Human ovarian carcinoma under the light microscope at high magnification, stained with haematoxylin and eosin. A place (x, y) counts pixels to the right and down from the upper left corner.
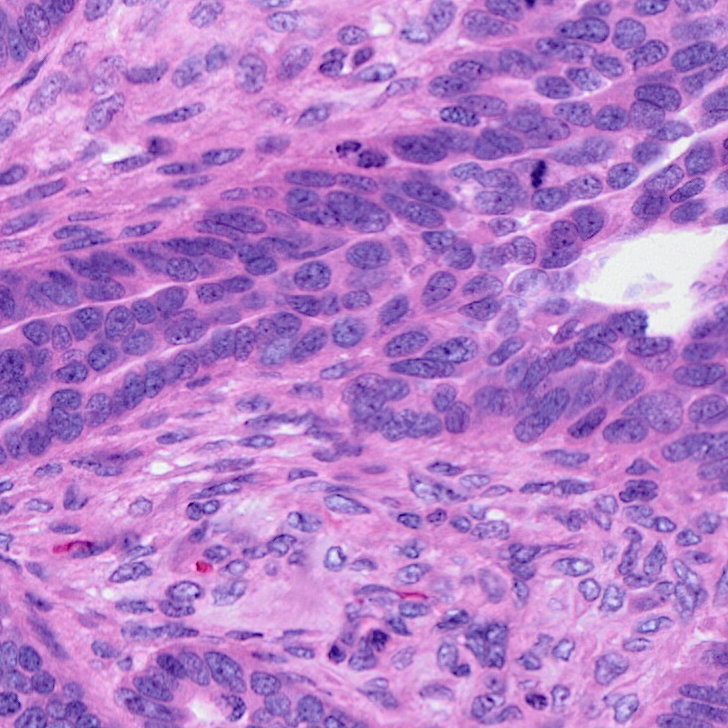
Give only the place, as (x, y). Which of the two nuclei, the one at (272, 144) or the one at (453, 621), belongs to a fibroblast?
(272, 144)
